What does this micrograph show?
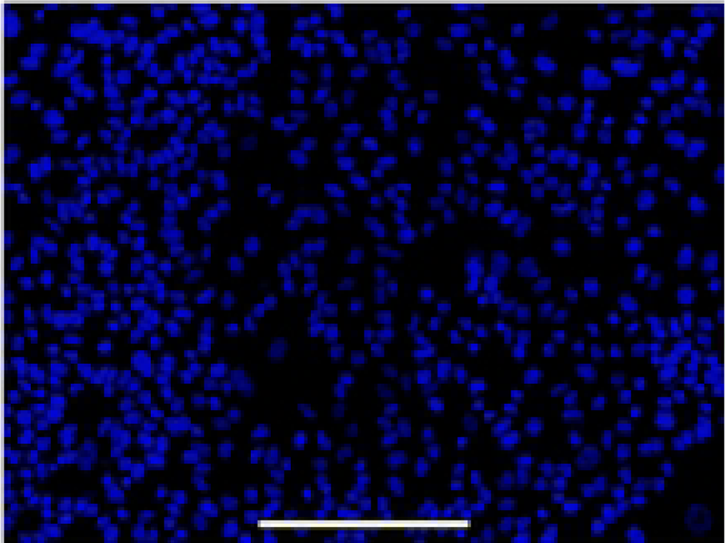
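The nuclei are small, round to oval and of fairly uniform size. Some nuclei lie close together in clusters while narrow dark spaces separate others. The cytoplasm is not stained and appears as black background between the nuclei.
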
